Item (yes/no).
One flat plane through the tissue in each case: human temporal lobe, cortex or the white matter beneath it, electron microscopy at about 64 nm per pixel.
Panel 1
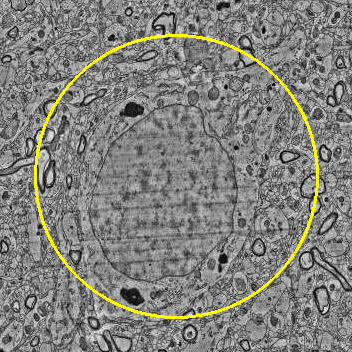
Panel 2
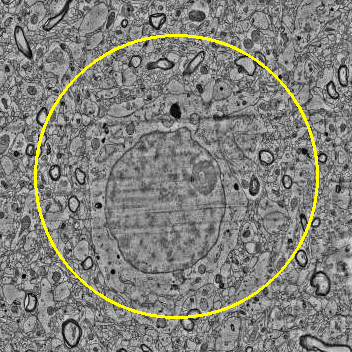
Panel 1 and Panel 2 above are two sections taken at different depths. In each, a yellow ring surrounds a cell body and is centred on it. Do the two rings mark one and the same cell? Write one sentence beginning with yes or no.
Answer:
Yes, both marked profiles belong to the very same cell.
